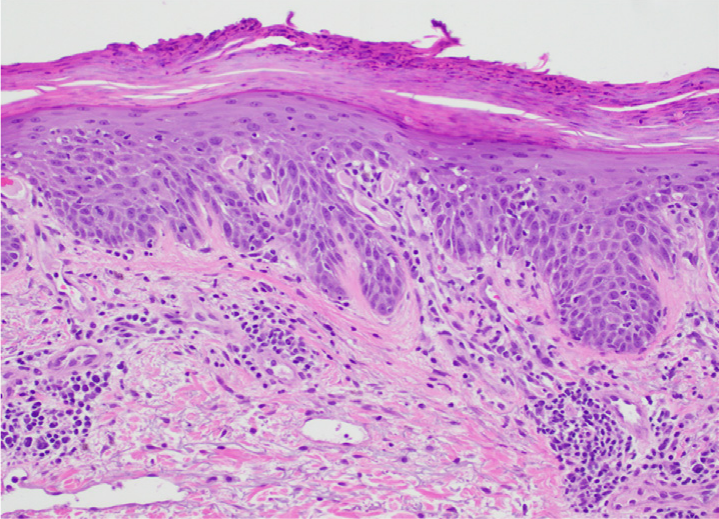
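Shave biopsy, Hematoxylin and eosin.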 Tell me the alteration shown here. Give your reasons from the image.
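The epidermis is markedly thickened. Rete ridges are elongated and broad, extending down into the dermis. On this evidence: acanthosis.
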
